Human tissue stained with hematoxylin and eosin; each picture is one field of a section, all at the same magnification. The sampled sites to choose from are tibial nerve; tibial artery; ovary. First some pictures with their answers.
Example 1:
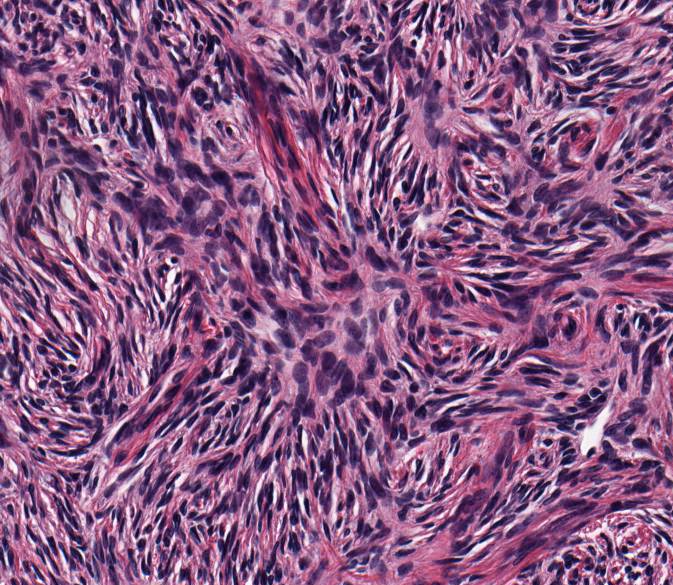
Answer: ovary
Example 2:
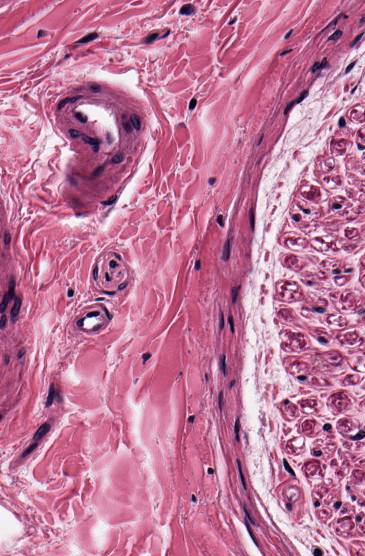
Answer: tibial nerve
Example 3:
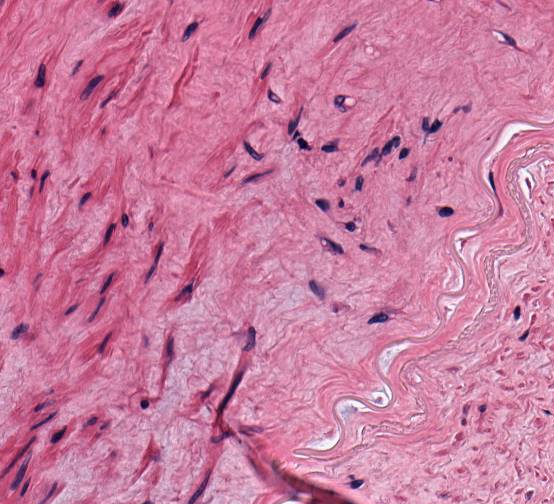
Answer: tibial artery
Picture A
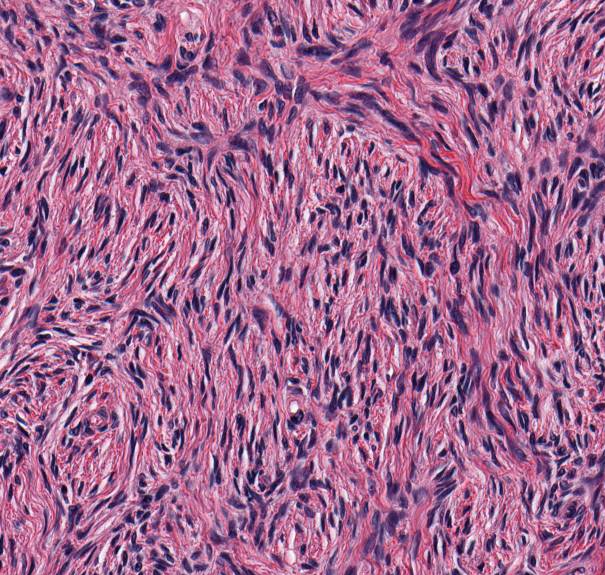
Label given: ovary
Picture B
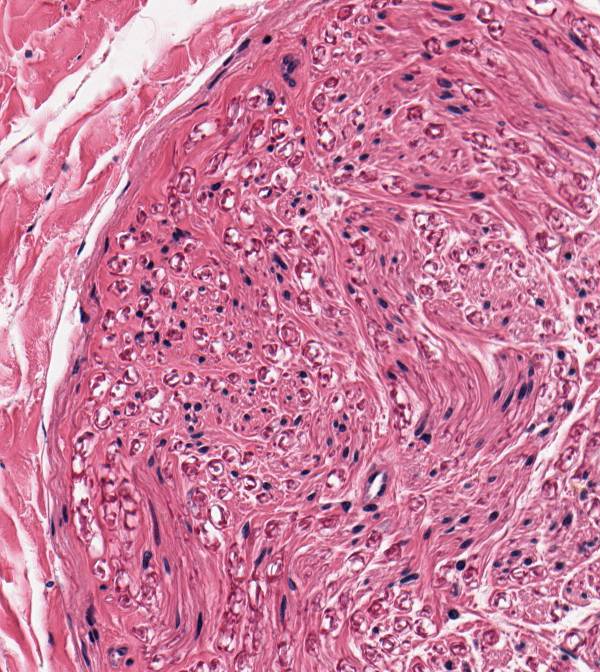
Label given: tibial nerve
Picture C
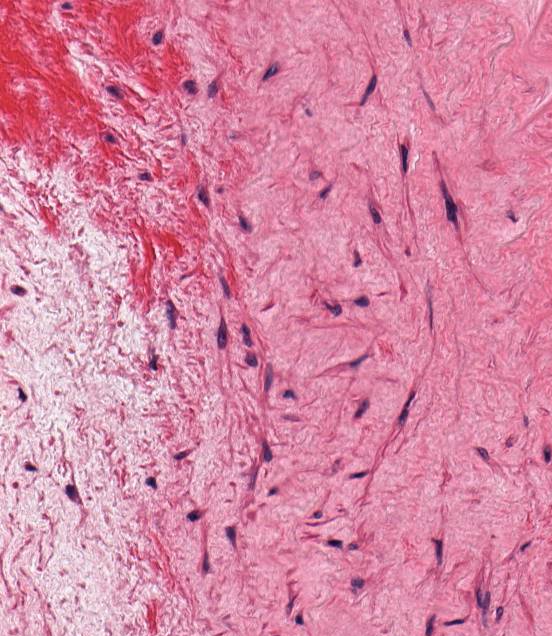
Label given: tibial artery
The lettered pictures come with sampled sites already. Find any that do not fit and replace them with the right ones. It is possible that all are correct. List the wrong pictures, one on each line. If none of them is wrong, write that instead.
Nothing to fix; every label fits.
